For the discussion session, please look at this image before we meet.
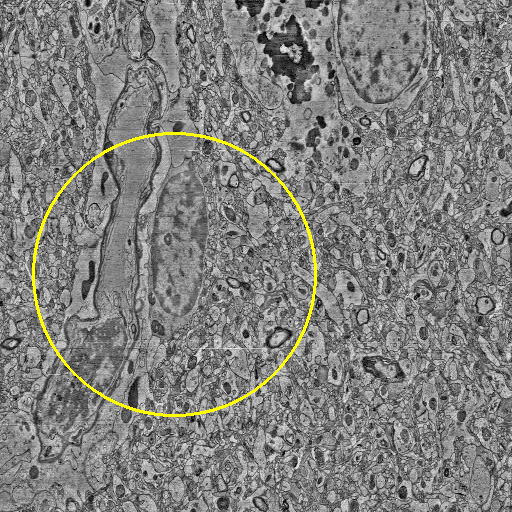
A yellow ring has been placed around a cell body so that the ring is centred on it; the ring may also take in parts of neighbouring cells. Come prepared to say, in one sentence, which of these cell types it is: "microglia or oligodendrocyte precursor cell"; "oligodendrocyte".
The cell centred in the ring is an oligodendrocyte.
